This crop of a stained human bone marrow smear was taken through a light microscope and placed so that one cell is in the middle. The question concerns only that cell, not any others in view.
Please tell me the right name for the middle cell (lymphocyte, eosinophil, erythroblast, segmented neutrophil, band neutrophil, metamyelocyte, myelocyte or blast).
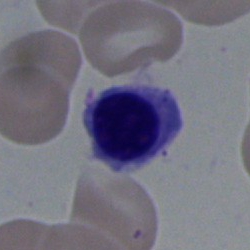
erythroblast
